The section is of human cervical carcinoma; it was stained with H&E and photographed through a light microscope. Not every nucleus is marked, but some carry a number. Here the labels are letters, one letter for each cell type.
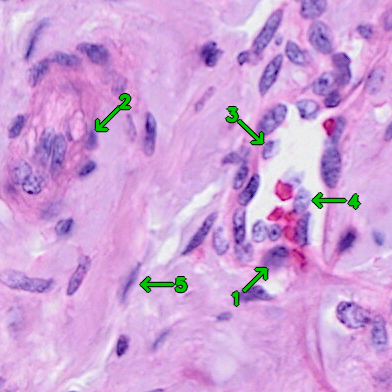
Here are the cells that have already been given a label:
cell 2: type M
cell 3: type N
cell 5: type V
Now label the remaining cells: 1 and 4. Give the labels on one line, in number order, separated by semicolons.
type N; type N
